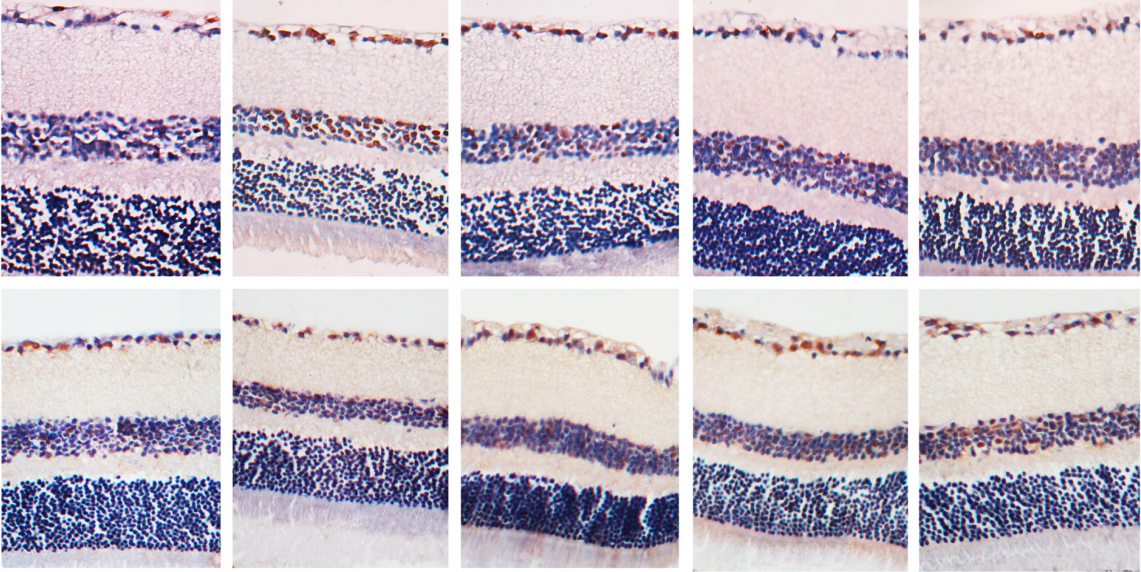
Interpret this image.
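These are sections through the retina, seen as layers stacked from top to bottom. At the top is a single thin row of ganglion cells. Beneath it lies a pale, finely fibrous band, then a band of several rows of blue nuclei in the inner nuclear layer, another pale band, and finally a thick layer of small, densely packed dark nuclei above a pale striated zone. Brown staining falls mainly on cells of the top row and of the middle nuclear band, while the thick bottom nuclear layer stays largely blue.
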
